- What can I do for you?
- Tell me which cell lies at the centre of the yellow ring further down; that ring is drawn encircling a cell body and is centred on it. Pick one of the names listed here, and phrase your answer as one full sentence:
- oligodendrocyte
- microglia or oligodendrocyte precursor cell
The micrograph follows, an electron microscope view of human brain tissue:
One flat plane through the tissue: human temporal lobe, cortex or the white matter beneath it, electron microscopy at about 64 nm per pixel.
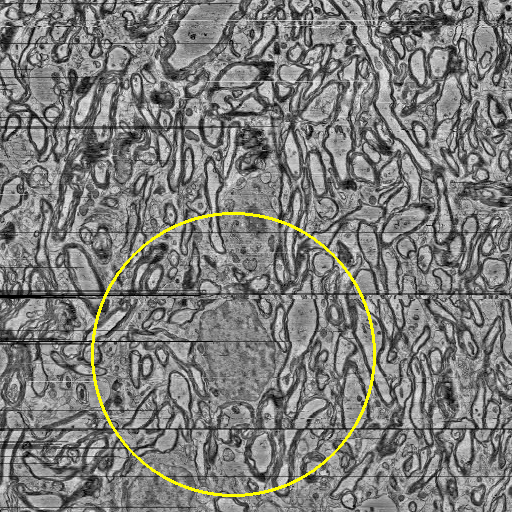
The cell whose body lies at the centre of the yellow ring is an oligodendrocyte.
